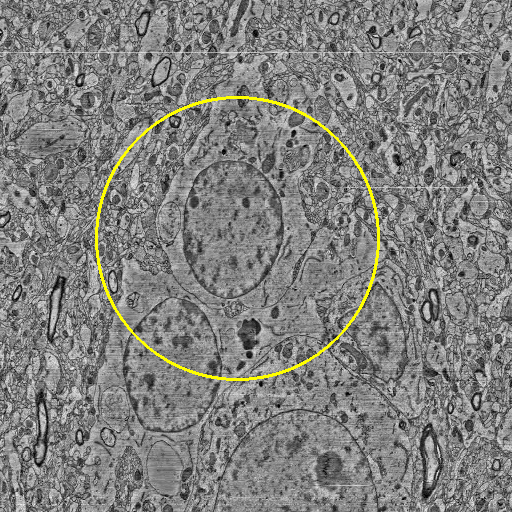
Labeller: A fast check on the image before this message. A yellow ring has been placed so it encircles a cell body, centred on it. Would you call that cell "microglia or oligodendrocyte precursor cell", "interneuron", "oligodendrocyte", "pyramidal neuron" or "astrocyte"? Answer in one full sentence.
In this image, an astrocyte is the cell on which the yellow ring is centred.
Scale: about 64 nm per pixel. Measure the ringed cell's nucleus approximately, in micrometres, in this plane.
Roughly 9 by 6 micrometres in this plane, for the nucleus of the ringed cell.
